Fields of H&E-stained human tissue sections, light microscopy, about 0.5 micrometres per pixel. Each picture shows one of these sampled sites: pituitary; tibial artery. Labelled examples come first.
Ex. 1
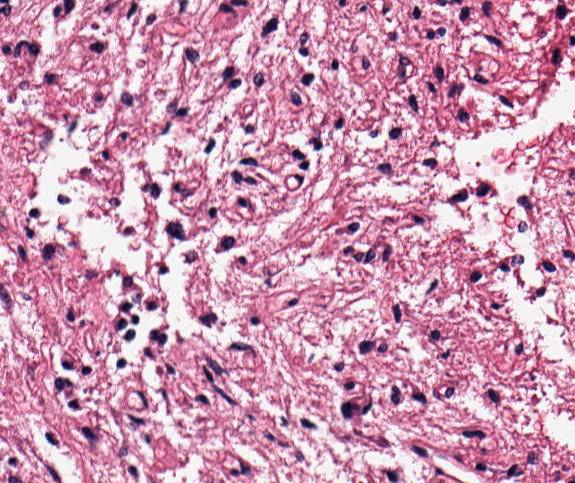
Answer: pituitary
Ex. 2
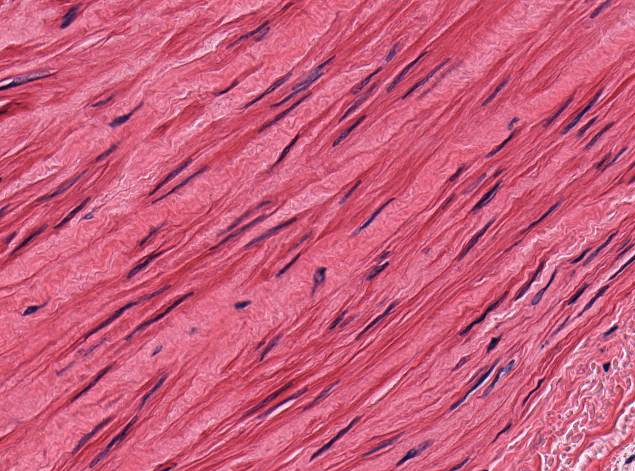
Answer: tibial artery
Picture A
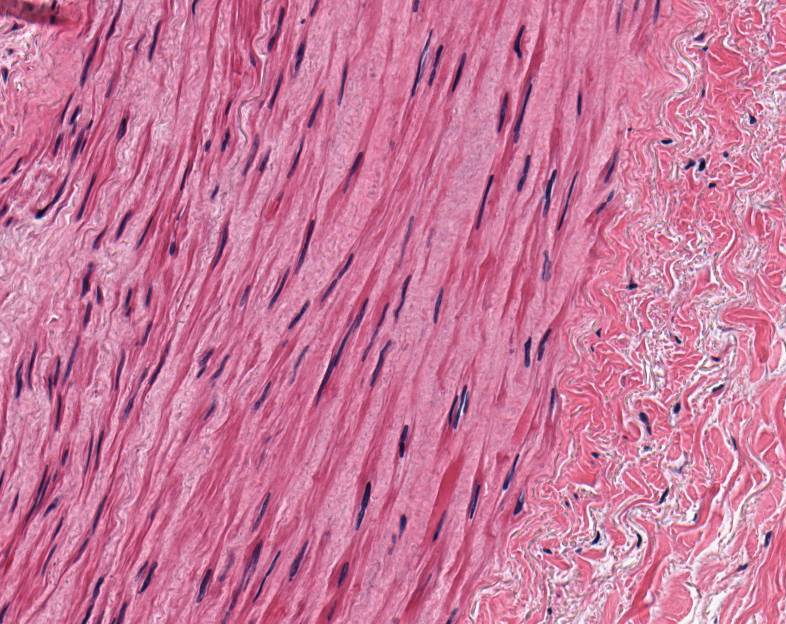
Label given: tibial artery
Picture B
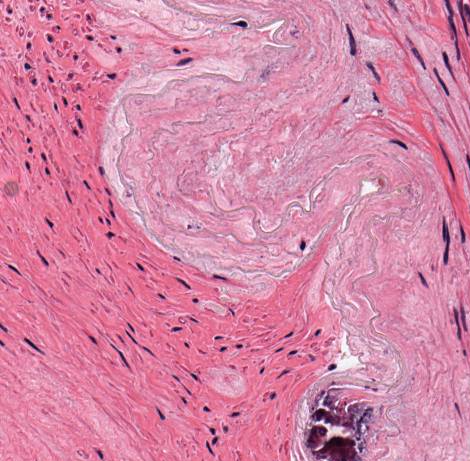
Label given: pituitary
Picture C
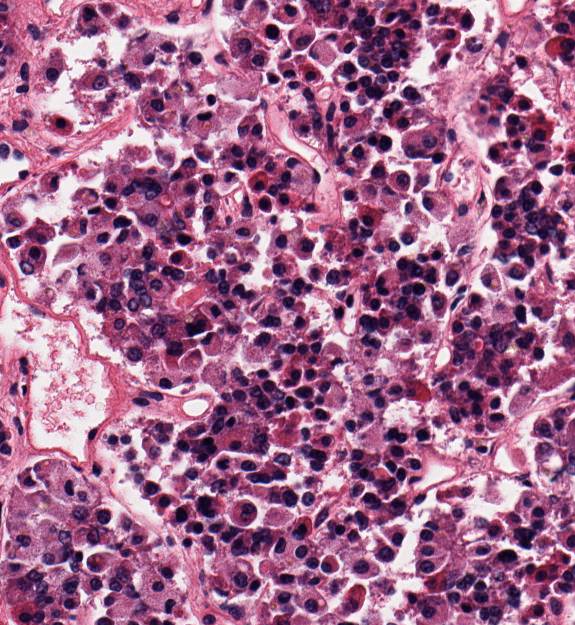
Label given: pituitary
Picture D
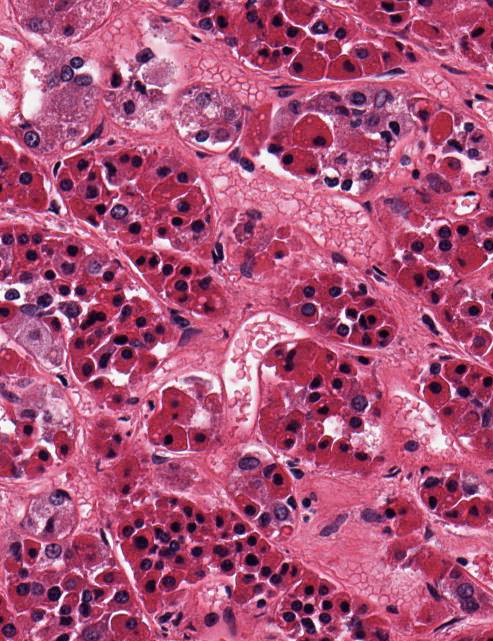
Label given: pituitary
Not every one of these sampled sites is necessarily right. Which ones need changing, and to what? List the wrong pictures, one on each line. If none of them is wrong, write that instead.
B is labelled pituitary; correct label: tibial artery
